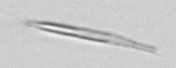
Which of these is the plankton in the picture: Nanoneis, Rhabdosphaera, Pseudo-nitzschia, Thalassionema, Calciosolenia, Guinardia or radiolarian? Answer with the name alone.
Calciosolenia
